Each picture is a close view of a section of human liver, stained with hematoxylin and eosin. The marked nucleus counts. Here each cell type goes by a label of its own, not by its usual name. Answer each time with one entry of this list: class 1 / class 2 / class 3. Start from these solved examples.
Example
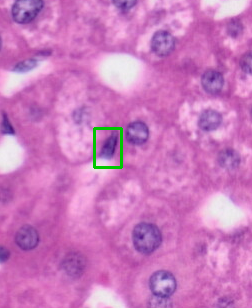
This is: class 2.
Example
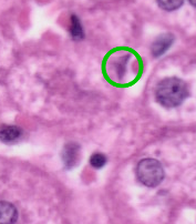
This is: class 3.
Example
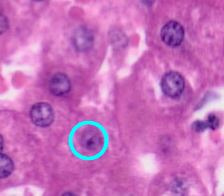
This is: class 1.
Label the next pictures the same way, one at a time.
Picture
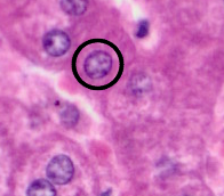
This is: class 1.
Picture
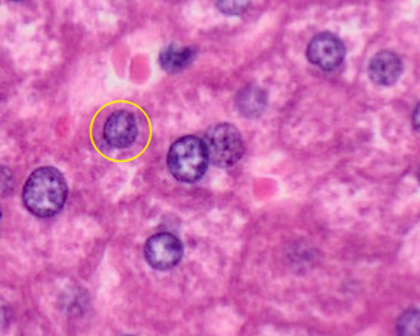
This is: class 1.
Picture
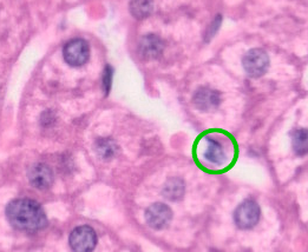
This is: class 3.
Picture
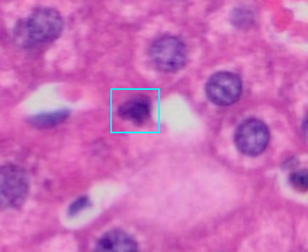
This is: class 2.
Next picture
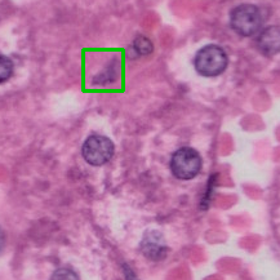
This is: class 3.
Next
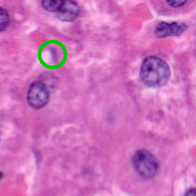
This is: class 3.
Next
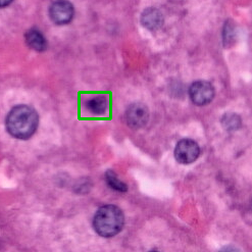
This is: class 2.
